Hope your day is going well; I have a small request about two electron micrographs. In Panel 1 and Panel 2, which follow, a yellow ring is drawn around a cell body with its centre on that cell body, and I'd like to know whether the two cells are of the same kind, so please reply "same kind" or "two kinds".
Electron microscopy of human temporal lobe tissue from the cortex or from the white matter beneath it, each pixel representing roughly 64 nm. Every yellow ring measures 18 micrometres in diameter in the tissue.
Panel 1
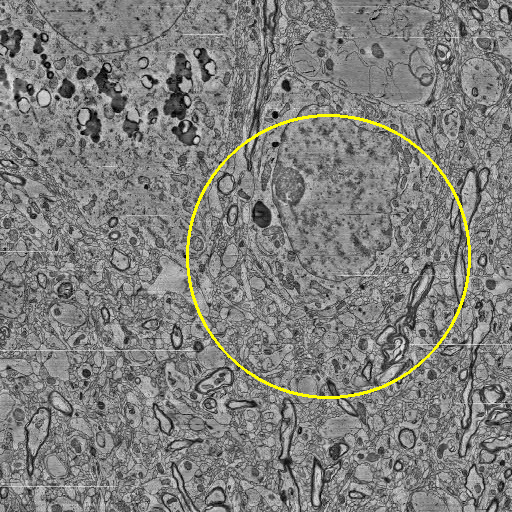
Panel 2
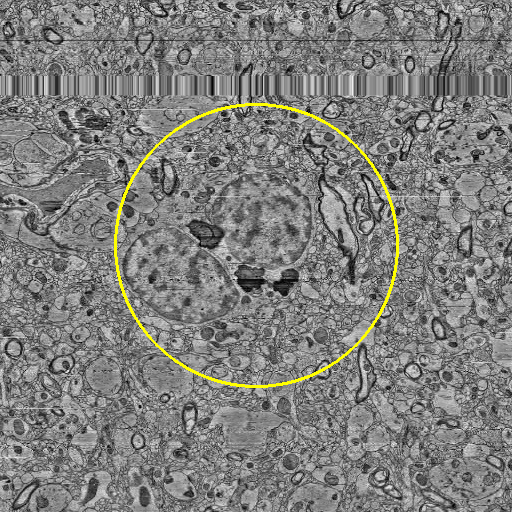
two kinds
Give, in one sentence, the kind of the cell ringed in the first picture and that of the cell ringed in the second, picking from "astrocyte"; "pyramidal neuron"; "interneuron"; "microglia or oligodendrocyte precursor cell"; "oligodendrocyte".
For the first picture it is an interneuron; for the second, an oligodendrocyte.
